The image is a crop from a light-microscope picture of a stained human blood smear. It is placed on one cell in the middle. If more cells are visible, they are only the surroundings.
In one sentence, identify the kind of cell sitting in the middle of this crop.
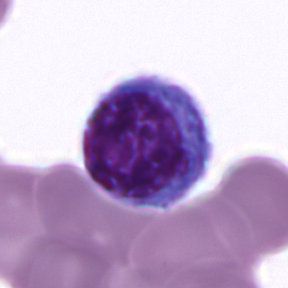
The cell at the middle of the frame should be recorded as a plasma cell.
